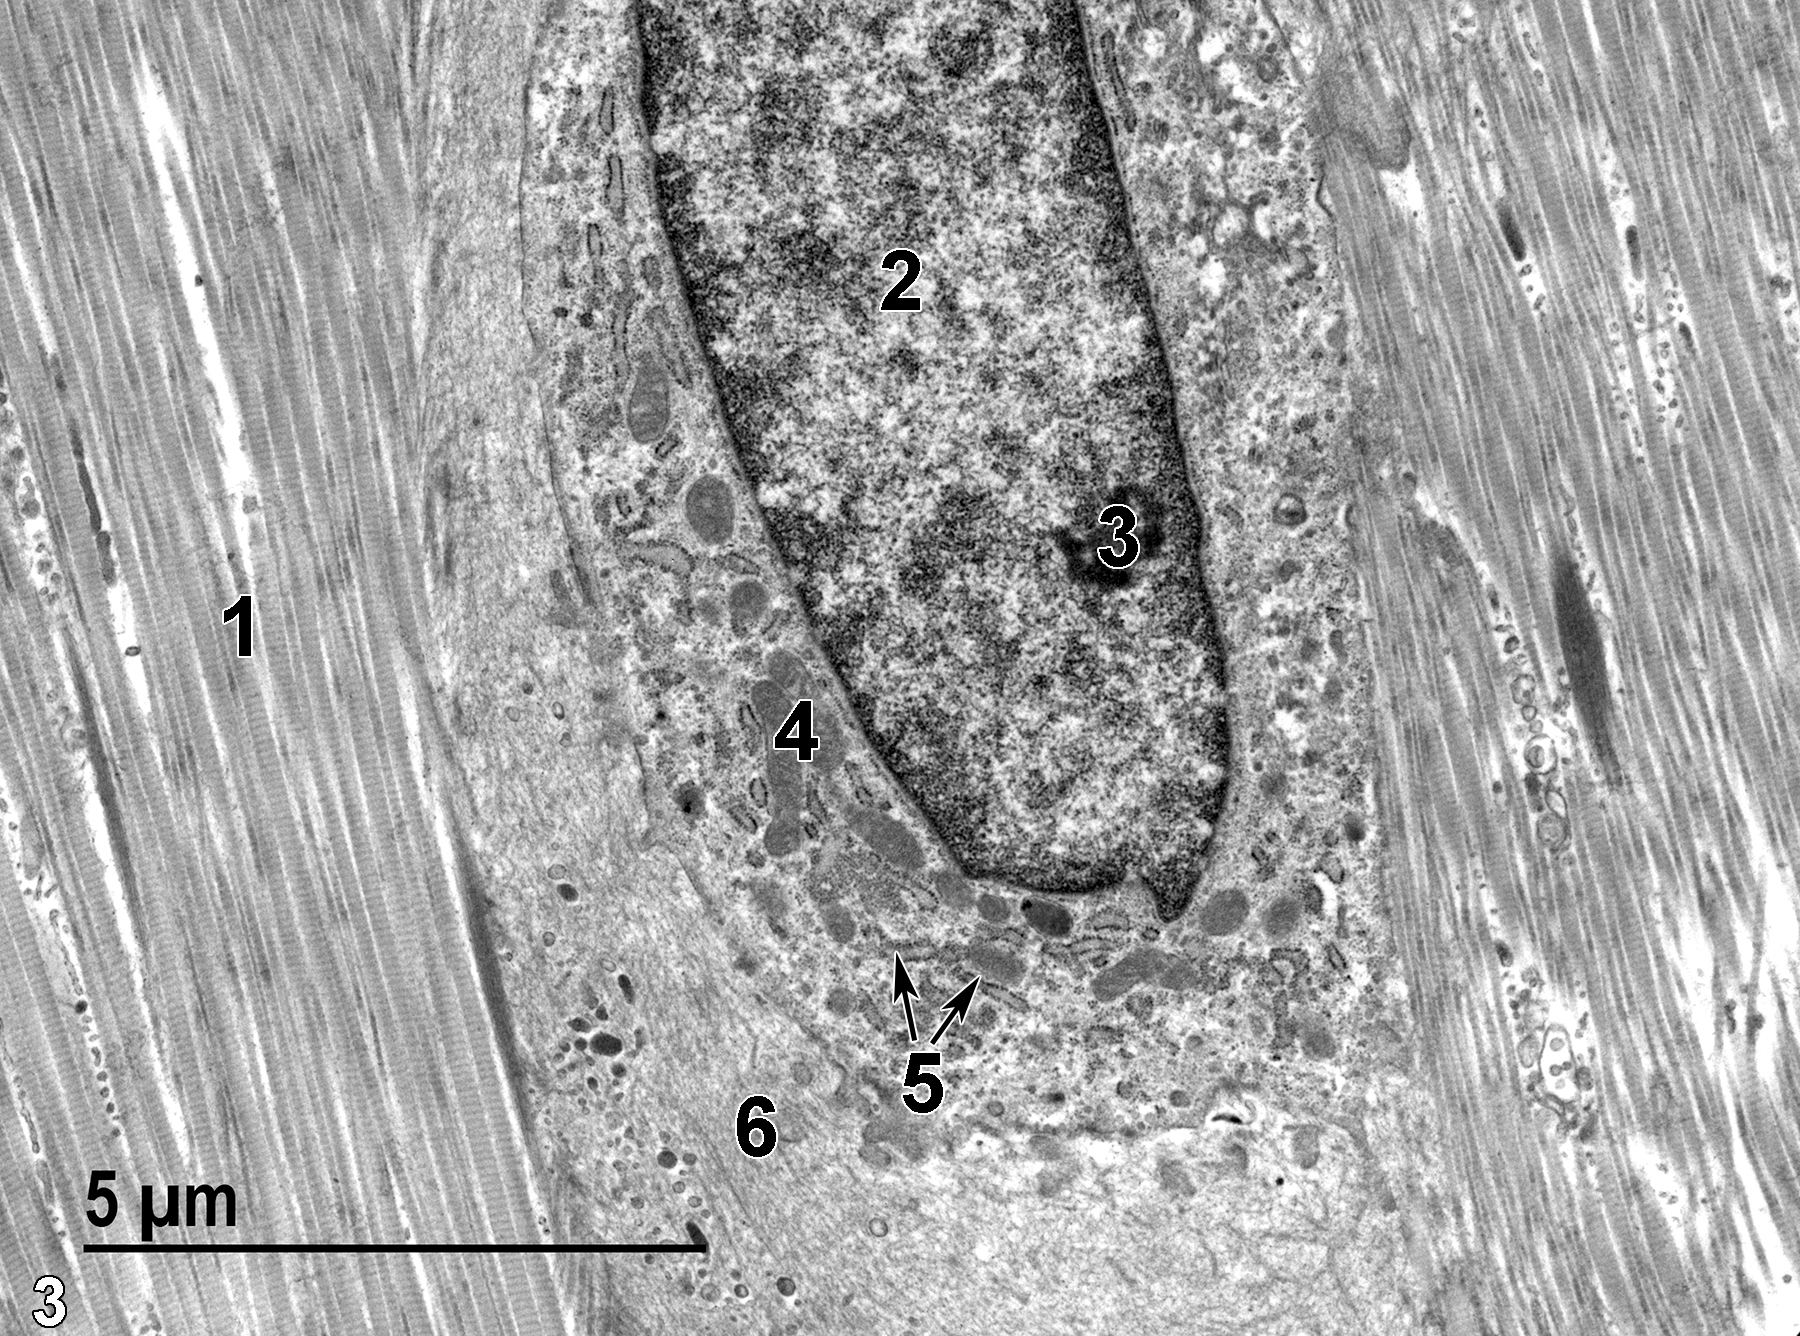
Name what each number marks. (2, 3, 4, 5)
(2) fibroblast nucleus
(3) nucleolus
(4) mitochondria
(5) rough endoplasmic reticulum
